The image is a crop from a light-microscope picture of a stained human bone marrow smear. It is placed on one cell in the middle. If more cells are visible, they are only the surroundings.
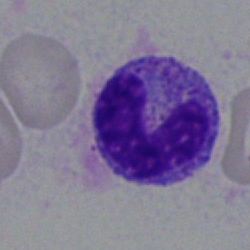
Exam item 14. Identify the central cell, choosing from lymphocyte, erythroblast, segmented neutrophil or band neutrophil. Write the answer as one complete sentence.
The centered cell in this crop is a band neutrophil.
